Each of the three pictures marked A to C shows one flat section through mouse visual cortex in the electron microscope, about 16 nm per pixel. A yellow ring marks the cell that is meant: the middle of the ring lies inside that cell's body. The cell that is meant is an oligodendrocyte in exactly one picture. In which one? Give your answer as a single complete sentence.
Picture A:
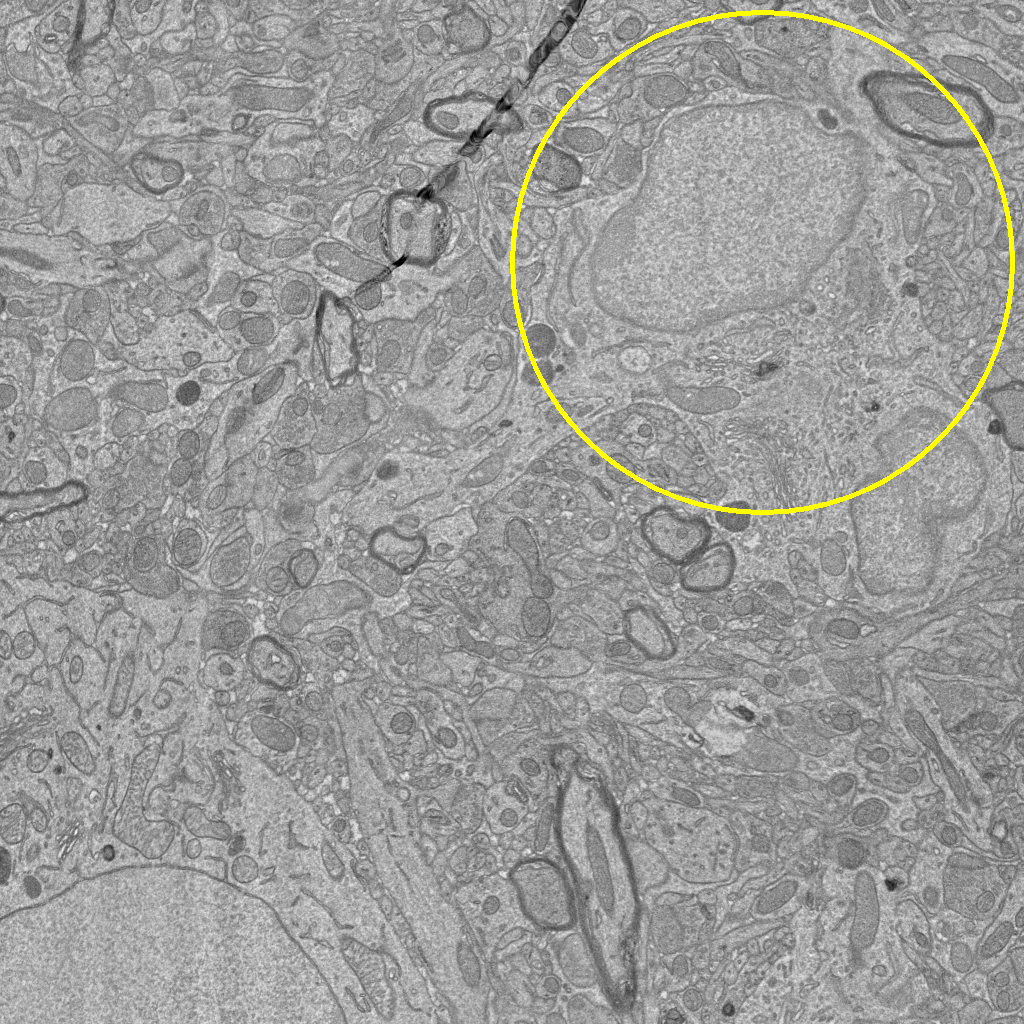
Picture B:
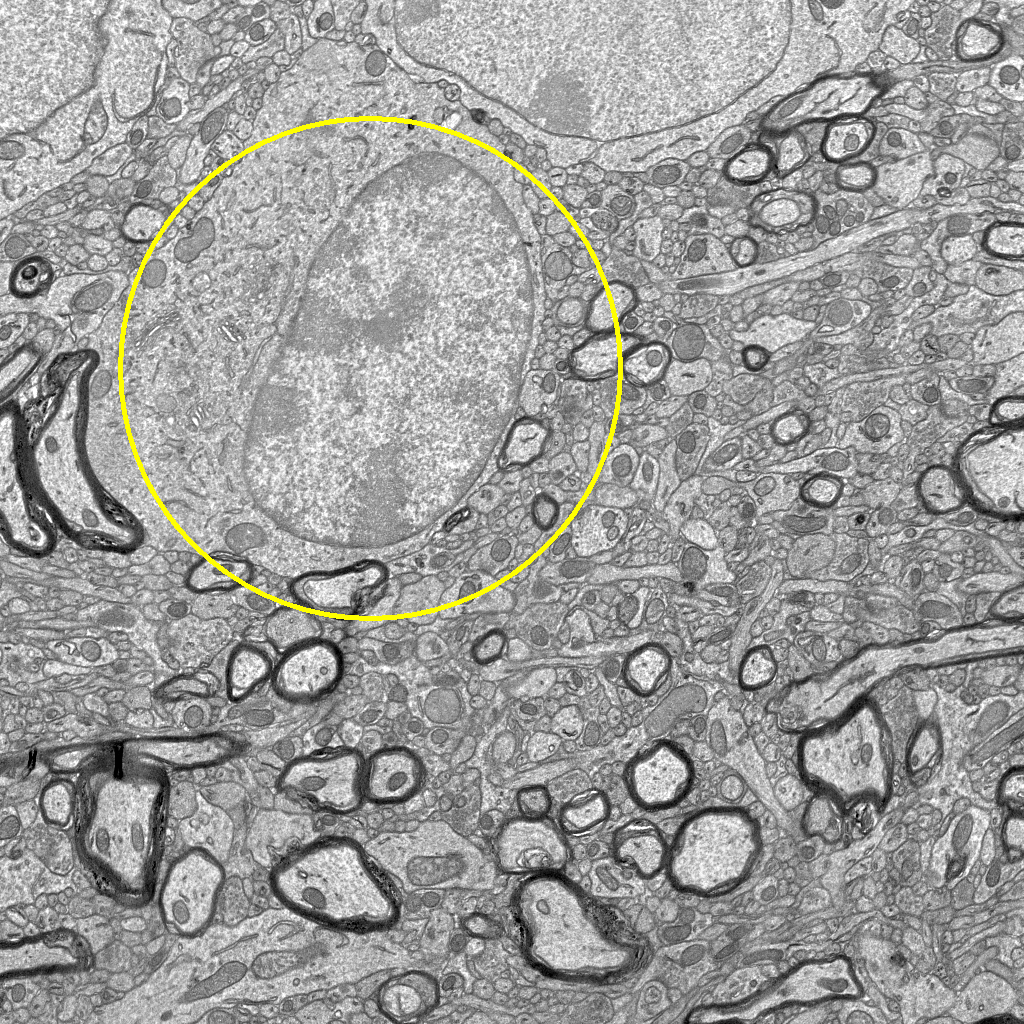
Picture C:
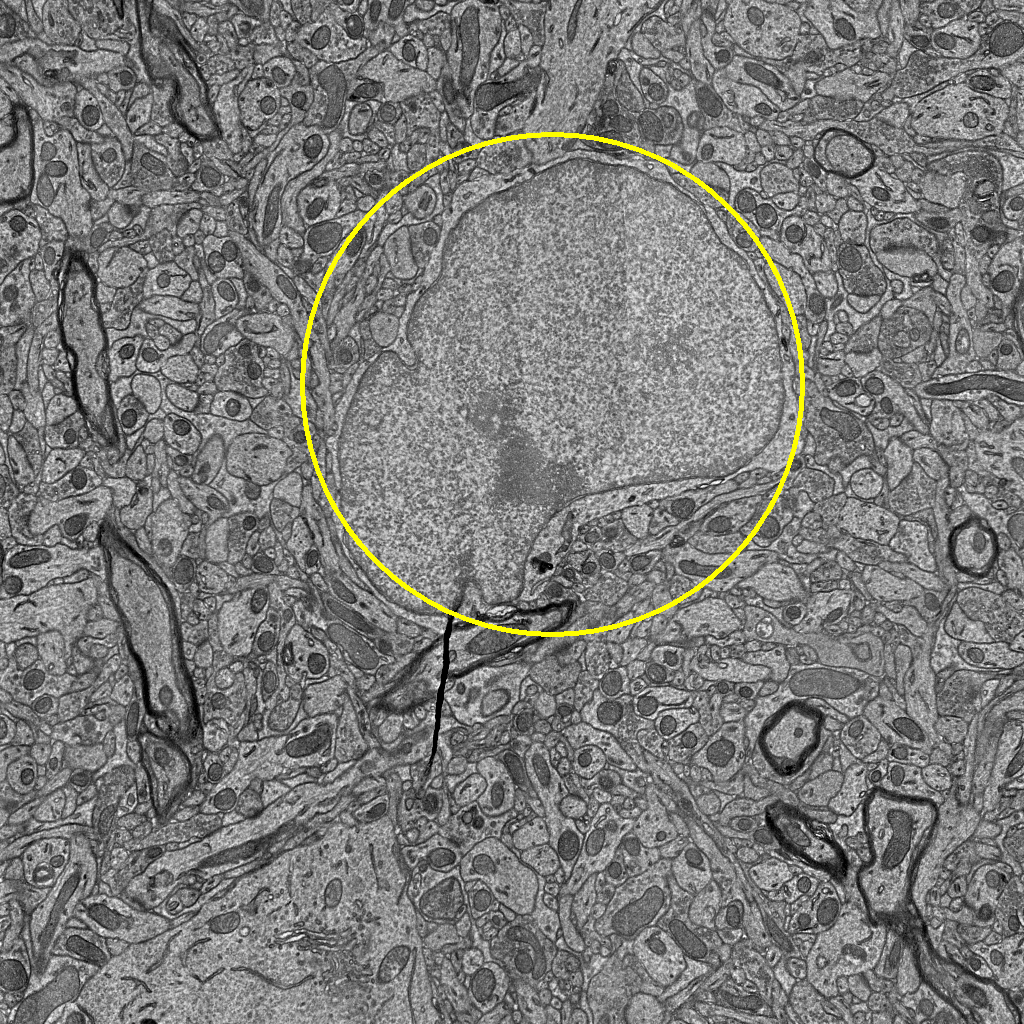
The oligodendrocyte is the one in picture B.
